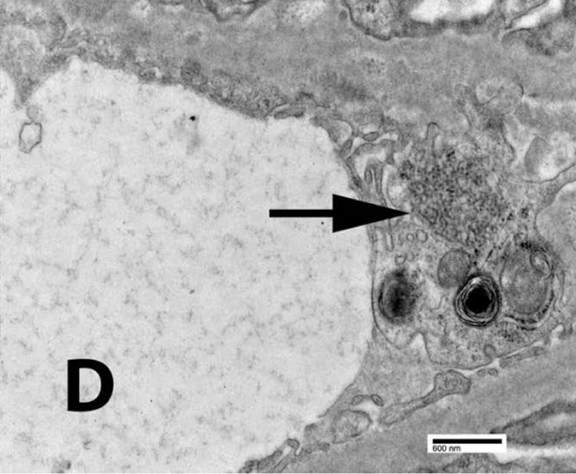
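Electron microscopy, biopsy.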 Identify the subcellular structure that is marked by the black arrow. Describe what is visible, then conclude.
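Tubuloreticular inclusions. The arrow points at a cluster of small anastomosing tubular profiles. The cluster lies in cytoplasm beside a large pale lumen.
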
